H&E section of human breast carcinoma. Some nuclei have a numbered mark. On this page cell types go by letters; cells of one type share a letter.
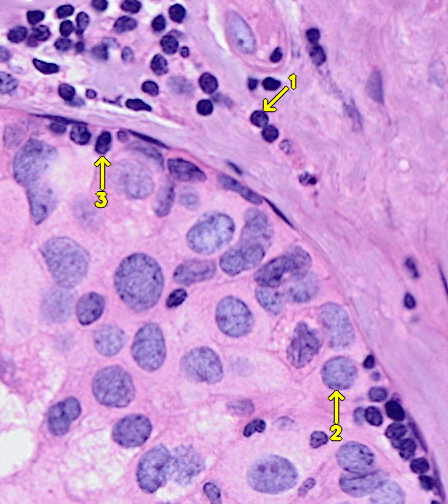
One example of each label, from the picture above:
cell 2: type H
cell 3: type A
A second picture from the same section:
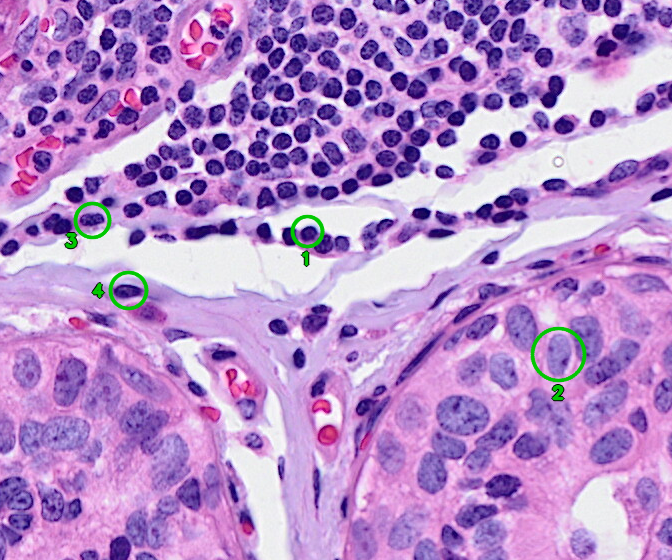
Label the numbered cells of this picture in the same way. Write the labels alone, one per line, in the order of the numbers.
type A
type H
type A
type A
